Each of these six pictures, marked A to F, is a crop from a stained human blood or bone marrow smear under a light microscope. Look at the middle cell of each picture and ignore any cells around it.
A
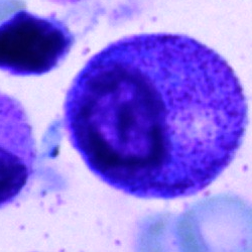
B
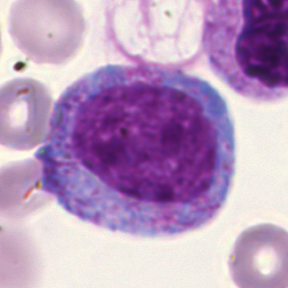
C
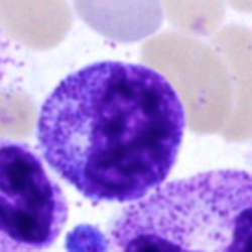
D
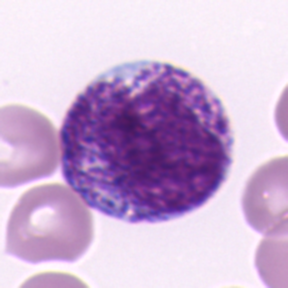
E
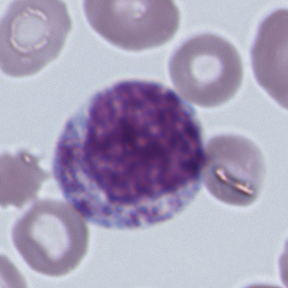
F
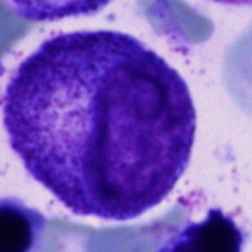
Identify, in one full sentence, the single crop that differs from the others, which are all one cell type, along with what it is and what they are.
Found in all crops but one are myelocytes; the exception, crop B, contains a promyelocyte.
